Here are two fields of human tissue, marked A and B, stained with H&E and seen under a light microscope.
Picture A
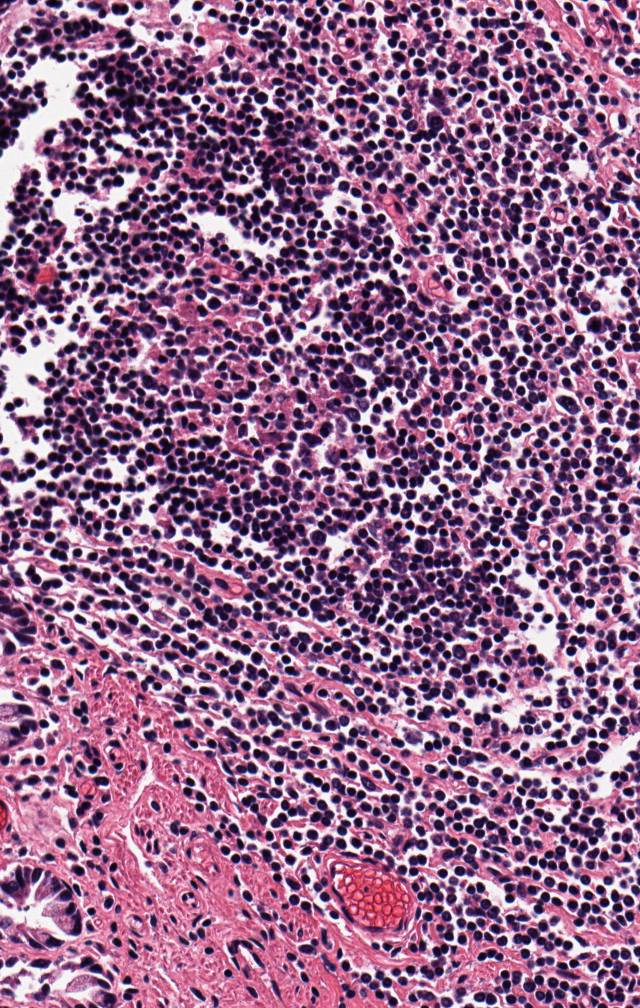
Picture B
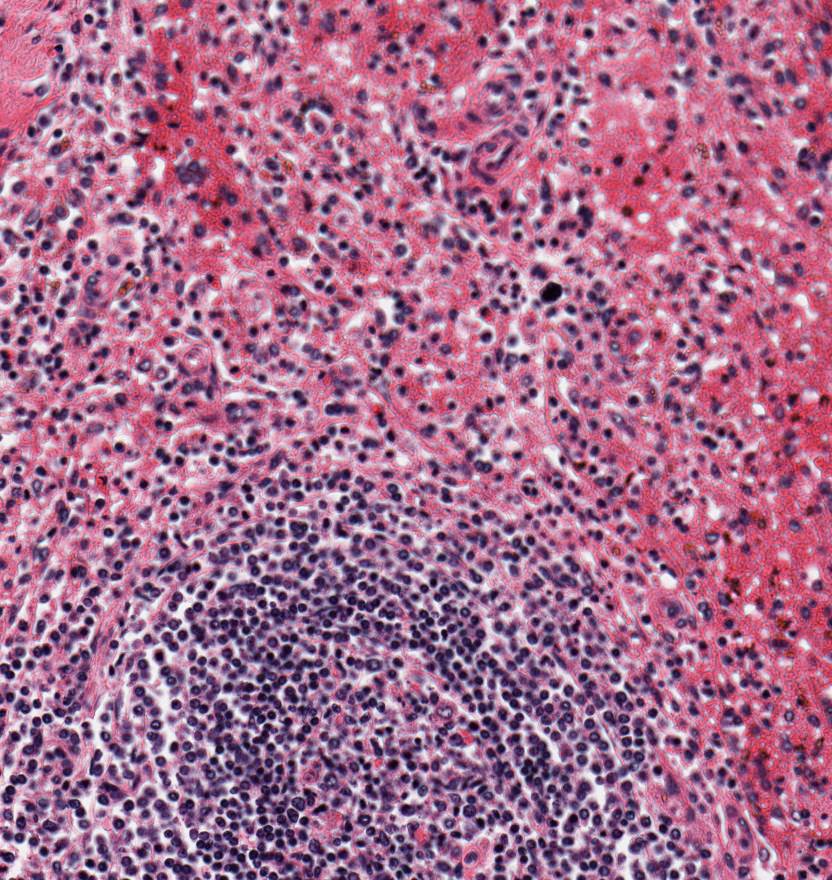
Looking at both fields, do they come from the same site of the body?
no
